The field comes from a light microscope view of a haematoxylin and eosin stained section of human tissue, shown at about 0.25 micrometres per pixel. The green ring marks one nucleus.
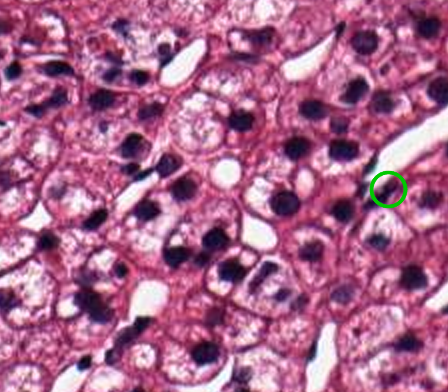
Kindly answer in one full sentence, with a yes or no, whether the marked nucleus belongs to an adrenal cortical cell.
No, the marked nucleus is contained in a supporting cell and not in an adrenal cortical cell.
